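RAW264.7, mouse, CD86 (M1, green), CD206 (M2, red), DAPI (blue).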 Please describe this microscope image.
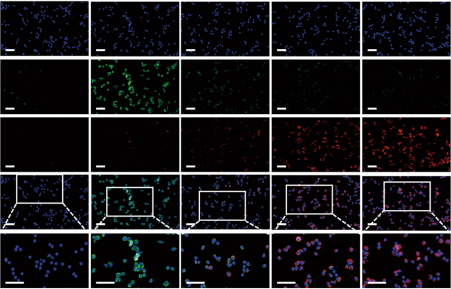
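Cultured macrophages are seen as small, rounded cells lying singly and scattered loosely over the field, each with a compact round blue nucleus. In some columns many cells carry green fluorescence around the nucleus, while in others the cells are rimmed or filled with red fluorescence; in the enlarged merged views the colour sits around the blue nuclei, outlining the cell bodies.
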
